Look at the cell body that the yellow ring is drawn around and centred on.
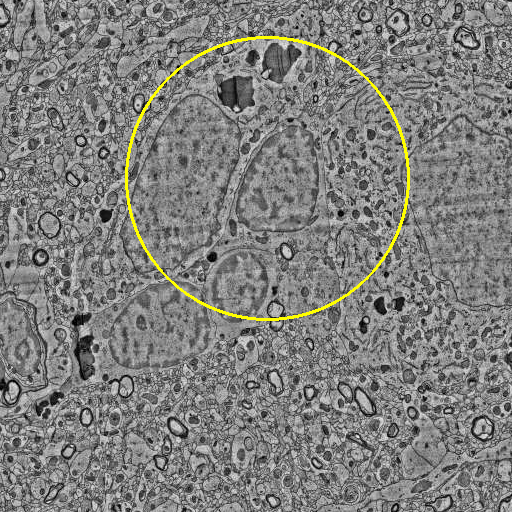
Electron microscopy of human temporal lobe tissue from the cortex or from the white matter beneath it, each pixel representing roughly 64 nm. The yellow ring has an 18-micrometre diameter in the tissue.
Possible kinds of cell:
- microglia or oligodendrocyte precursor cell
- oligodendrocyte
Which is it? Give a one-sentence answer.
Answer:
The centred cell body is that of an oligodendrocyte.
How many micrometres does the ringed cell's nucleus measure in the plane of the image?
In this plane, the nucleus is roughly 7 by 5 micrometres.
